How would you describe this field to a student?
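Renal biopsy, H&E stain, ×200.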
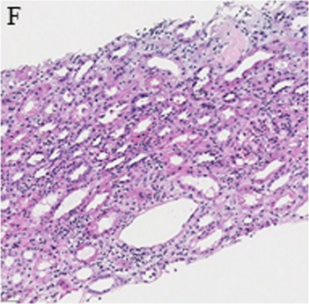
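This is kidney tissue dominated by tubules set in an abnormally widened interstitium. The tubules appear in cross and oblique sections, lined by pink-staining epithelium, and several have open, dilated lumens. Between them the interstitial tissue is broadened and loose, and it holds many small dark-blue round nuclei of inflammatory cells scattered diffusely. In places the tubules are pushed apart by this cellular and pale interstitium rather than lying back to back as in normal cortex. No glomerulus is obvious in this field, and the section edge at the top looks ragged.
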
